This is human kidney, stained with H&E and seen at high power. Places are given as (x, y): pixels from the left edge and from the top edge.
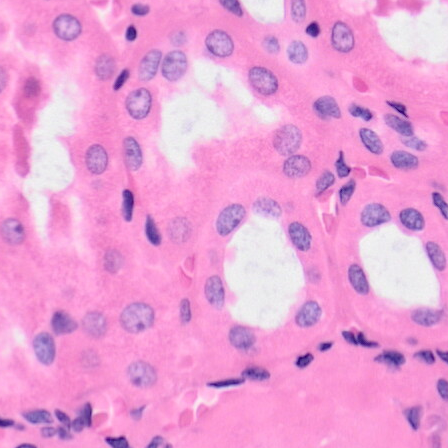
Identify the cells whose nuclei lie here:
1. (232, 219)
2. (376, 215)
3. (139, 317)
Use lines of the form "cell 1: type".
cell 1: loop of Henle or distal tubule cell
cell 2: loop of Henle or distal tubule cell
cell 3: proximal tubule cell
